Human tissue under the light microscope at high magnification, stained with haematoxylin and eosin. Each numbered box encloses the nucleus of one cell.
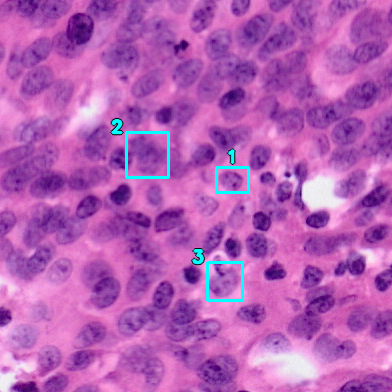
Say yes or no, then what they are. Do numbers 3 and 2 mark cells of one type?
No, cell 3 is to be identified as a macrophage or monocyte and cell 2 as a carcinoma cell.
